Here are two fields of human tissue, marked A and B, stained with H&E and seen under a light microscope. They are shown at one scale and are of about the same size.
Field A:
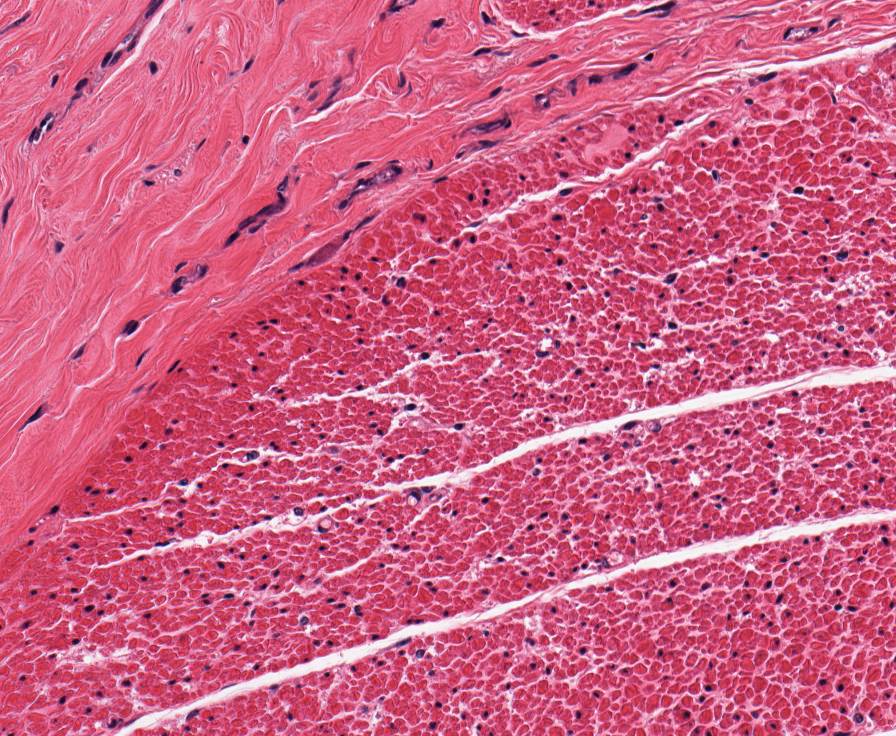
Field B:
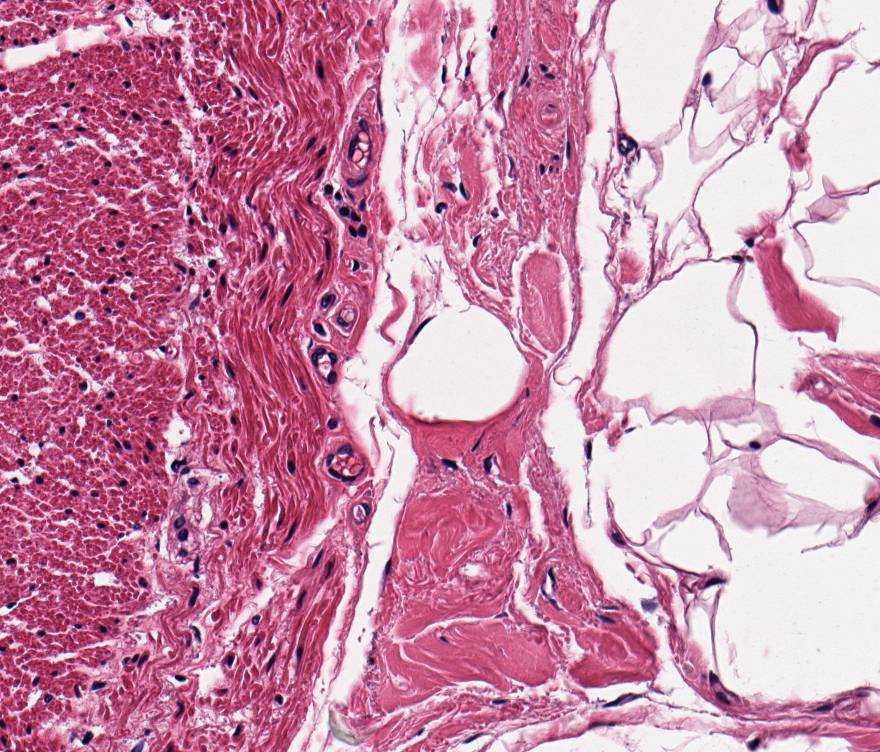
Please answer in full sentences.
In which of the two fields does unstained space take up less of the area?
Unstained space takes up less of field A than of field B.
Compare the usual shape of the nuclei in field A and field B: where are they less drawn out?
Rounder nuclei lie in field A.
